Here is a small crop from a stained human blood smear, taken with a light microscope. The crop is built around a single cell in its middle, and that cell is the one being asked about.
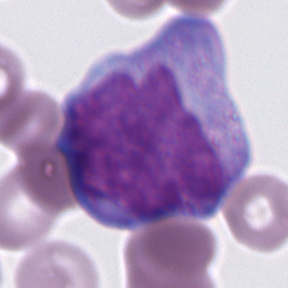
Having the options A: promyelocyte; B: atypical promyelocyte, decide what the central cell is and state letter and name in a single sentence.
The correct identification, given in option B, is that the central cell is an atypical promyelocyte.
